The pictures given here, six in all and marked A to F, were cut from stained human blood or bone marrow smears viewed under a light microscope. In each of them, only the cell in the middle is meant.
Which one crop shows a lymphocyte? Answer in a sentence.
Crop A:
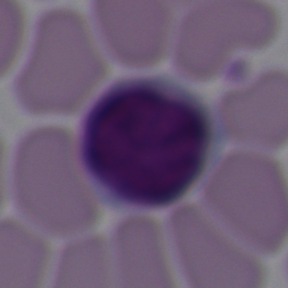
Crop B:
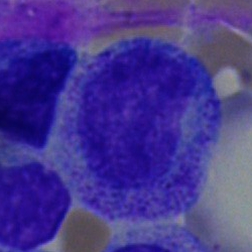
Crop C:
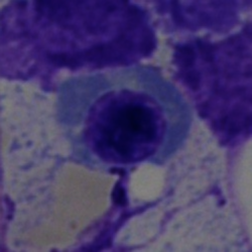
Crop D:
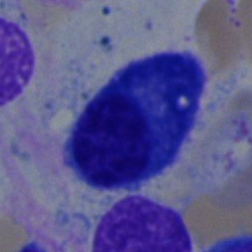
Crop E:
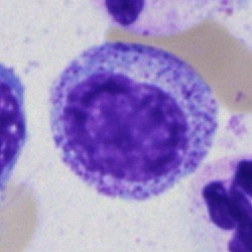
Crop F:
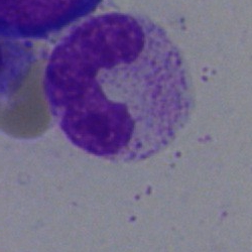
The crop showing a lymphocyte in this series is crop A.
